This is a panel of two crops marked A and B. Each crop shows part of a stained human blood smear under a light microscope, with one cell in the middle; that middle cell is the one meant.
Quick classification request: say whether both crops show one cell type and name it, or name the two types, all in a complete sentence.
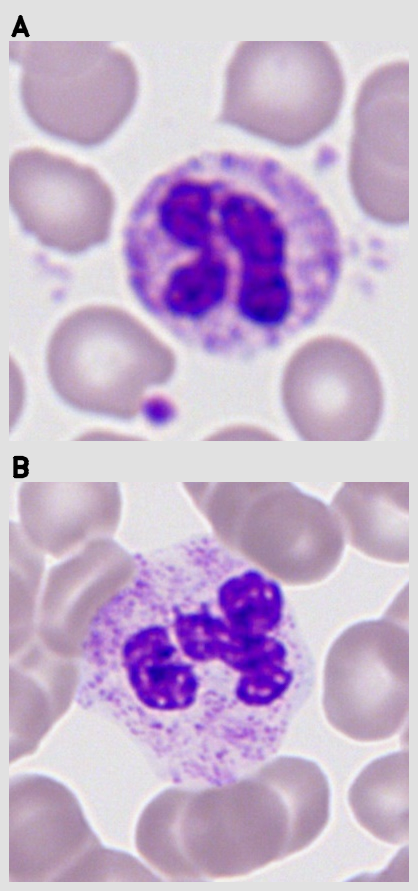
Yes, the first and the second crop both show neutrophils.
